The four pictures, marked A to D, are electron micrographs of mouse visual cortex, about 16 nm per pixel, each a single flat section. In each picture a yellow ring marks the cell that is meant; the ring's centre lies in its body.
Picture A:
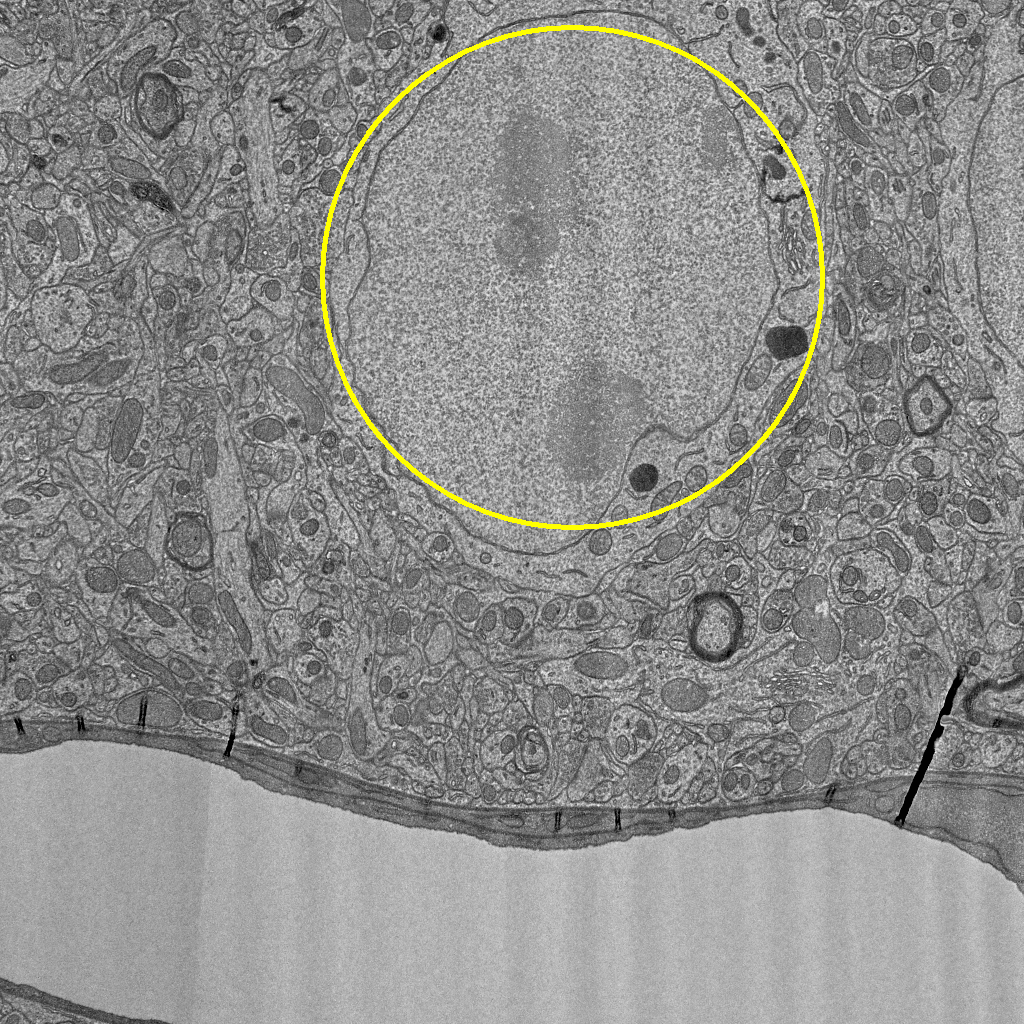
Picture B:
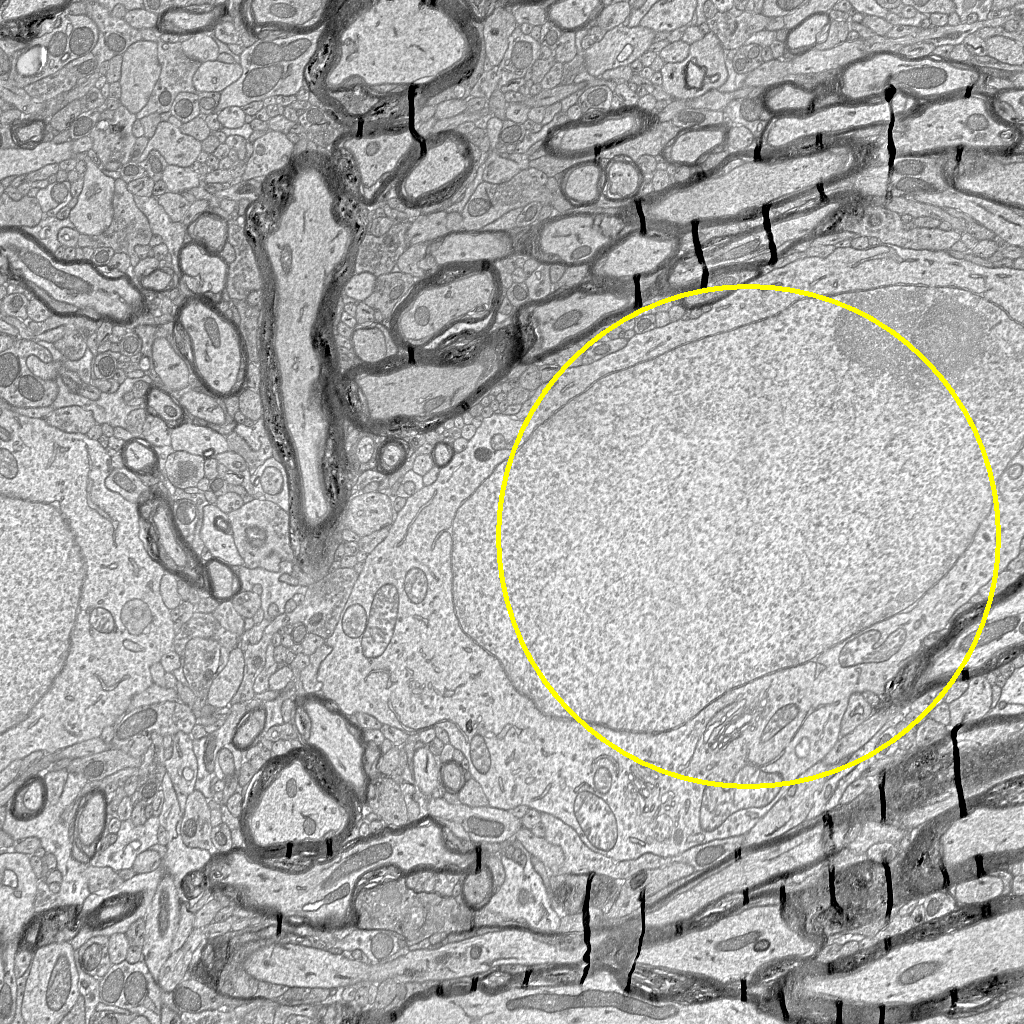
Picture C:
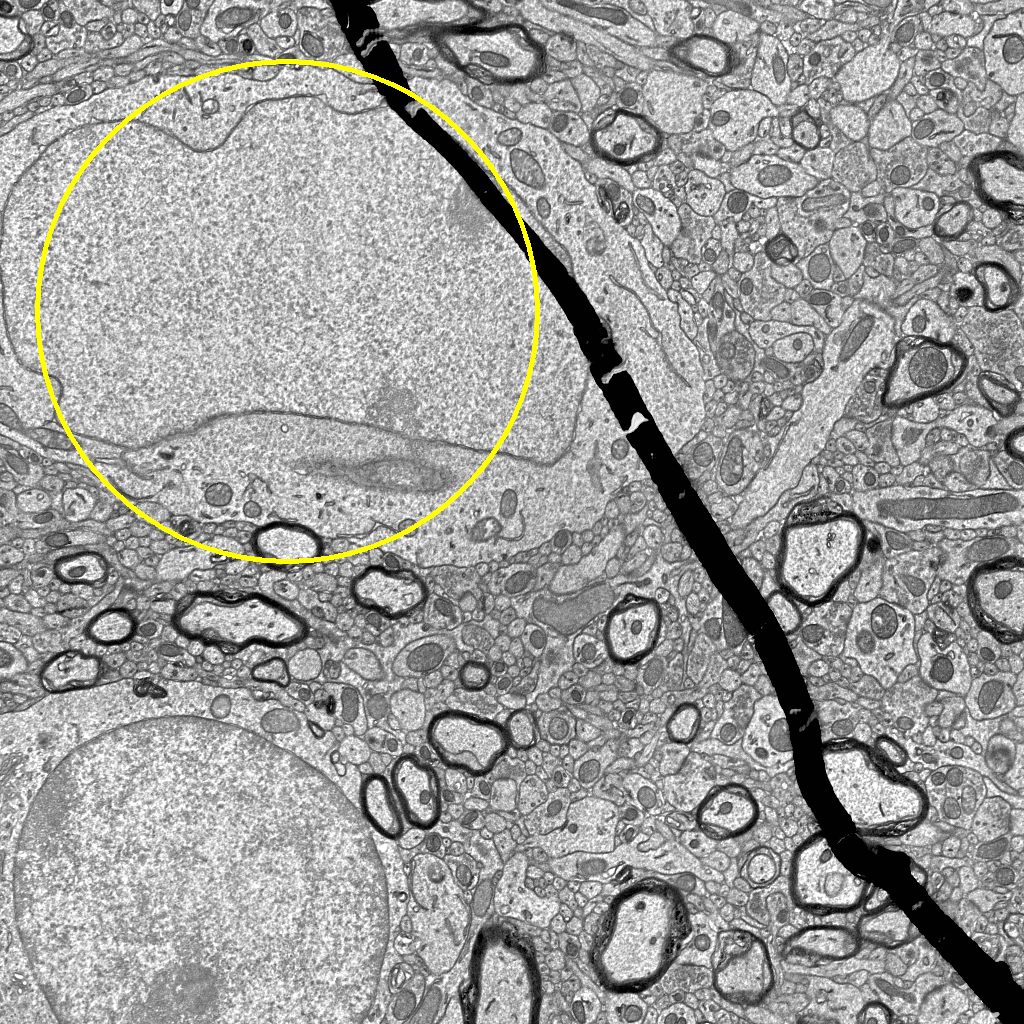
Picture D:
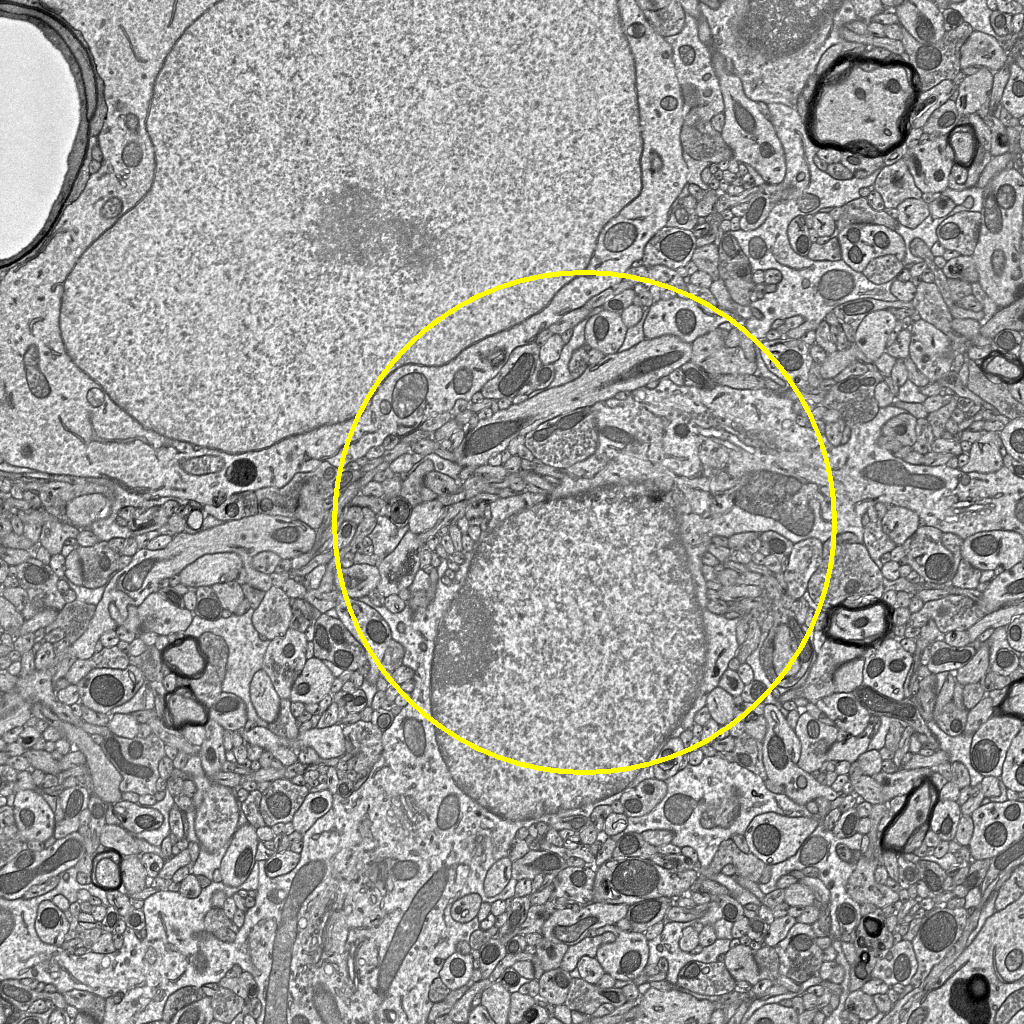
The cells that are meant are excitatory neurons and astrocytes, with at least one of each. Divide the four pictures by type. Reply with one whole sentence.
Pictures A, B and C show excitatory neurons, and picture D shows an astrocyte.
